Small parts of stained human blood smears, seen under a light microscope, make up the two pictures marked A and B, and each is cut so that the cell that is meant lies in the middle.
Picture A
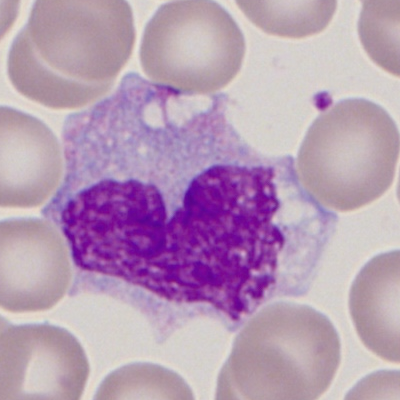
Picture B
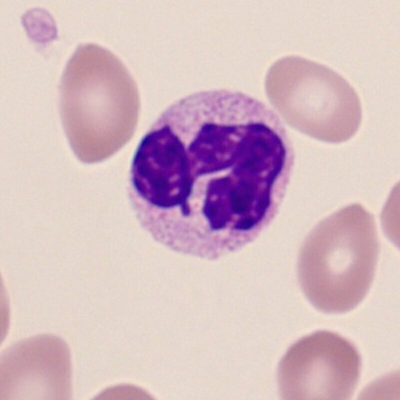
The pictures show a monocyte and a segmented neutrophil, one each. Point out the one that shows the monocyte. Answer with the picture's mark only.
A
